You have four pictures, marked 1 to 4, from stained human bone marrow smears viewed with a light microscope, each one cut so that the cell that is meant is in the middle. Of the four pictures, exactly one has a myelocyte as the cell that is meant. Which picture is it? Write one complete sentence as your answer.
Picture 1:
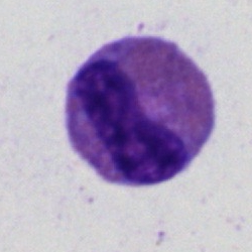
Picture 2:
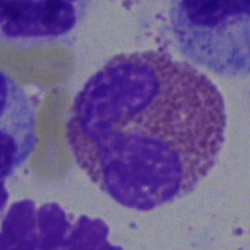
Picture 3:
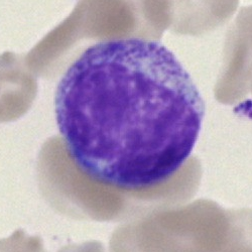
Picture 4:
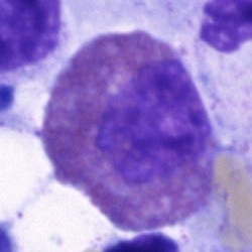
Picture 3 shows the myelocyte.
